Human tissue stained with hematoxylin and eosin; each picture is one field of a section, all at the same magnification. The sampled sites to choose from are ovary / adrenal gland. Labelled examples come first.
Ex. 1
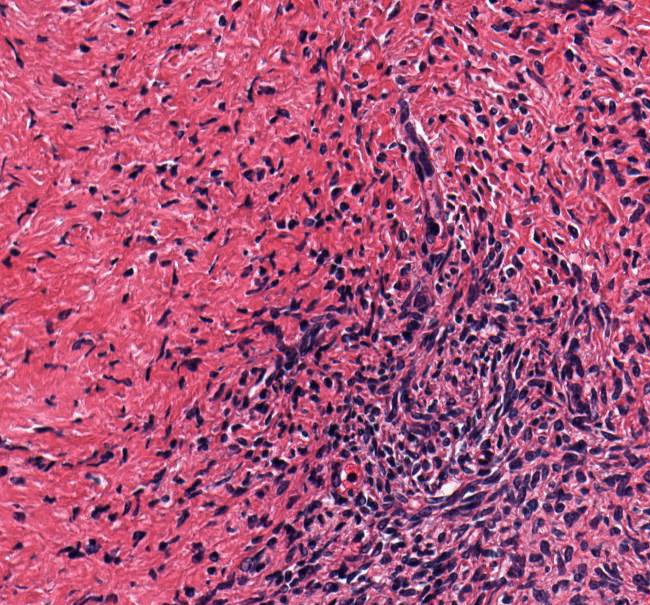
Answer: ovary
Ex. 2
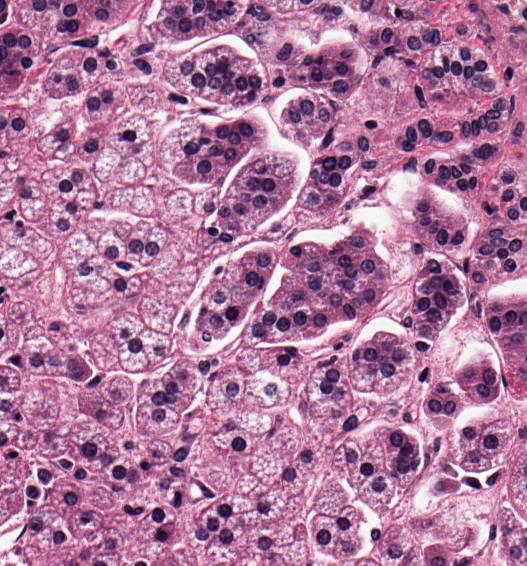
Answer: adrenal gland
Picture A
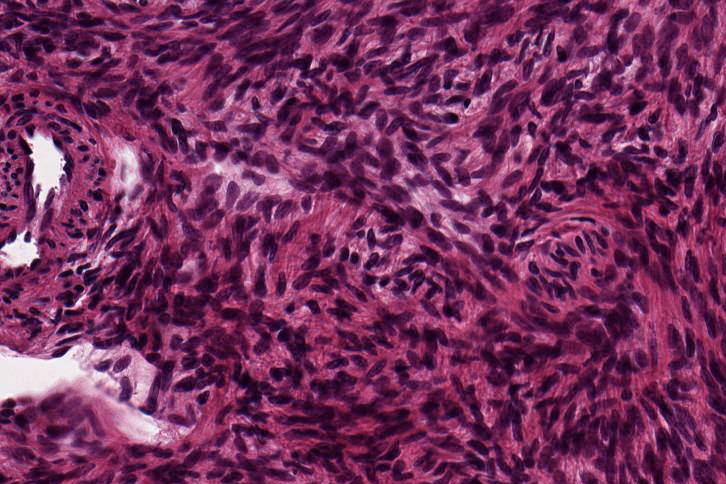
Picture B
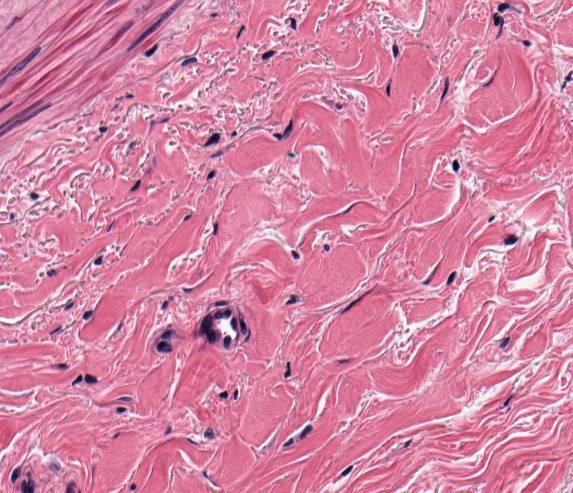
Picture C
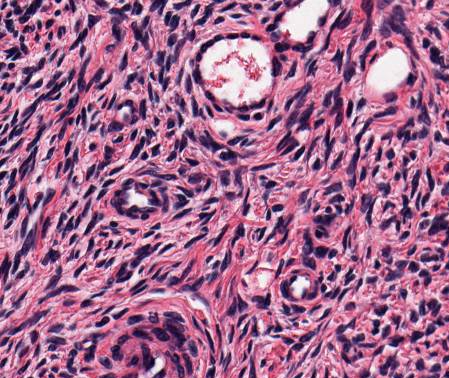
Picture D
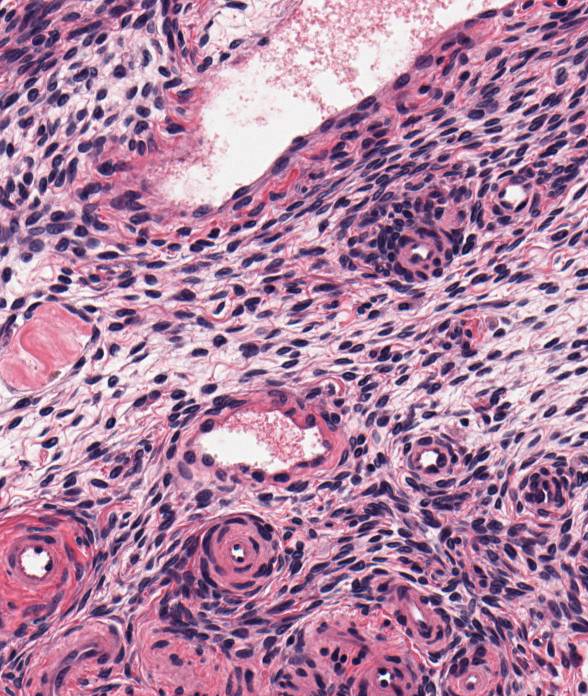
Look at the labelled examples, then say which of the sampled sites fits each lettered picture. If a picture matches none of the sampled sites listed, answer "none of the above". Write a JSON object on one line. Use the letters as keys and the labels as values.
{"A": "ovary", "B": "none of the above", "C": "ovary", "D": "ovary"}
